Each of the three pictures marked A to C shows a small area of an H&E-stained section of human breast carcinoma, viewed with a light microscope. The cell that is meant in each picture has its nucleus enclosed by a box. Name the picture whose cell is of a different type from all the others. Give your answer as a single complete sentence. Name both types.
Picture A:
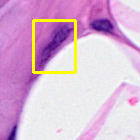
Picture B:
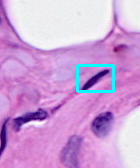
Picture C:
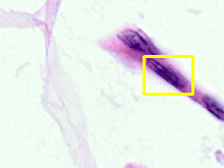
Picture C is the odd one out: it shows an endothelial cell, while the others show fibroblasts.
